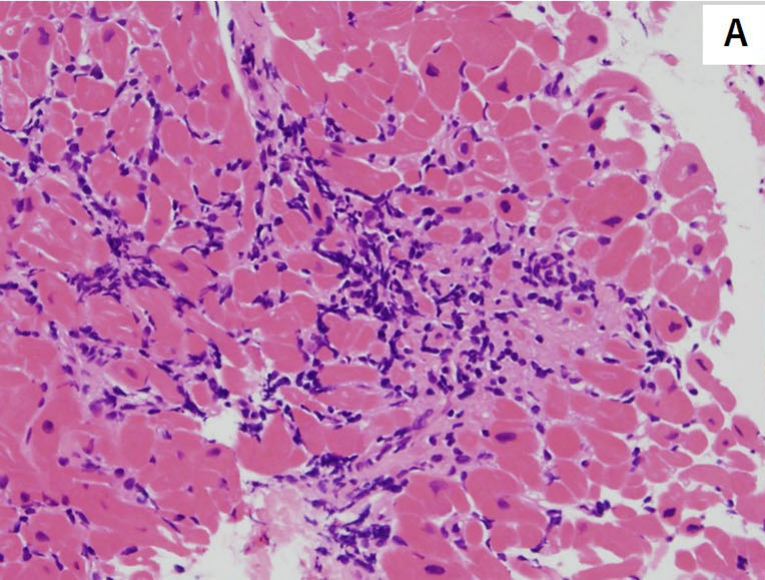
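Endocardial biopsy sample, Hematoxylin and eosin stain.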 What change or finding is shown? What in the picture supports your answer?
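Lymphocytic infiltration. Many small dark-purple nuclei lie scattered in the spaces between pink muscle fibres. These small nuclei are most crowded in a band across the middle of the field.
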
